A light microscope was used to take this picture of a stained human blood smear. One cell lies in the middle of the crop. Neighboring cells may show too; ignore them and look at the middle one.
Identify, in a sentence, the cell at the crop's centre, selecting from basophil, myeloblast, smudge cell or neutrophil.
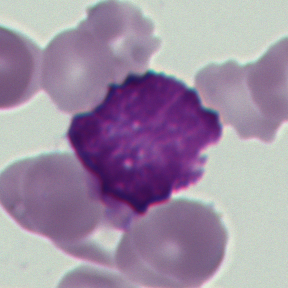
The central element of this crop is a cell, namely a smudge cell.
